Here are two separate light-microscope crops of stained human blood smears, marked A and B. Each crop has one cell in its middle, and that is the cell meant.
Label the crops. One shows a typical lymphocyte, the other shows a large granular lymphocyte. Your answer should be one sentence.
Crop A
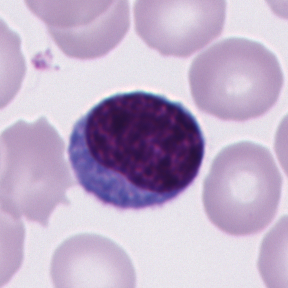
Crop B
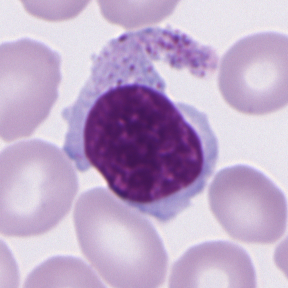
The cell of interest in crop A is a typical lymphocyte, and in crop B it is a large granular lymphocyte.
